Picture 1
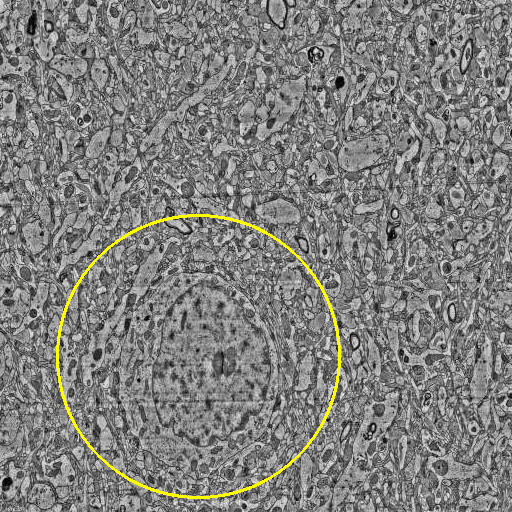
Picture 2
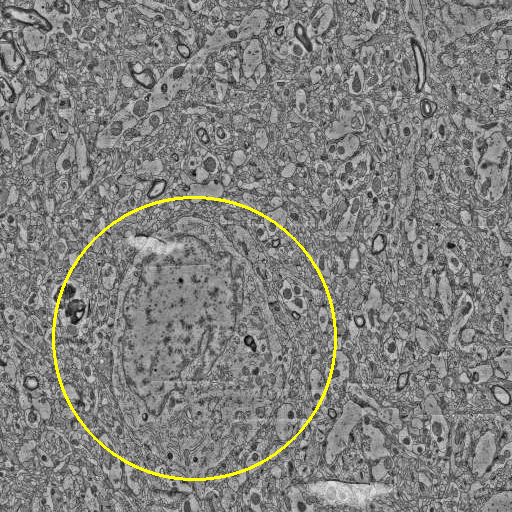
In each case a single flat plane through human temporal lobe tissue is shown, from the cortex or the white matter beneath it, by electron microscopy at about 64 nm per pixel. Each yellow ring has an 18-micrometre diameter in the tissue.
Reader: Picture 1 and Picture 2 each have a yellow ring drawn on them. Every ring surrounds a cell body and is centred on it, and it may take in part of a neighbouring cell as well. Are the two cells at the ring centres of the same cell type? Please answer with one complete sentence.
Yes, both cells are of the same cell type.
